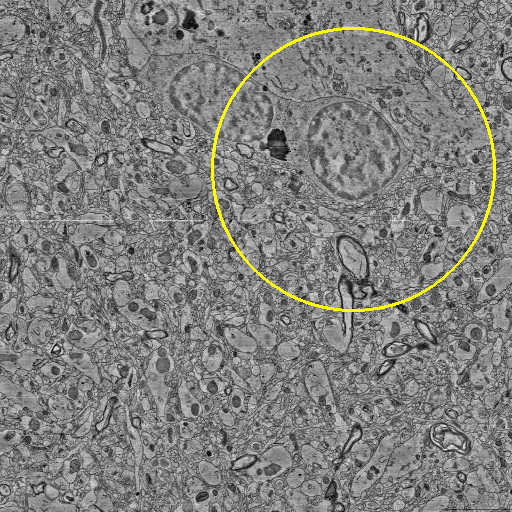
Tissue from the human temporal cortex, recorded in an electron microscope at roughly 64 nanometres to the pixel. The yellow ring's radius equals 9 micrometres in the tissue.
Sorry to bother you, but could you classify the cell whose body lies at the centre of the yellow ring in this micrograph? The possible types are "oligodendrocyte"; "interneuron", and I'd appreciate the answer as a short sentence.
The ringed cell body is that of an oligodendrocyte.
